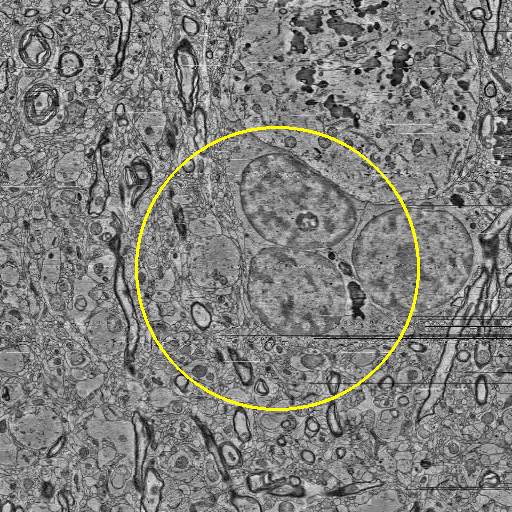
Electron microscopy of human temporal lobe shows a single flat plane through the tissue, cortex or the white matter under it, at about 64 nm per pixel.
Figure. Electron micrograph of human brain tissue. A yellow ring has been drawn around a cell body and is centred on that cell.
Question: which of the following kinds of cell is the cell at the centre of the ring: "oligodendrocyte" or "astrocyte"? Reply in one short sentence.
The cell at the centre of the ring is an oligodendrocyte.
